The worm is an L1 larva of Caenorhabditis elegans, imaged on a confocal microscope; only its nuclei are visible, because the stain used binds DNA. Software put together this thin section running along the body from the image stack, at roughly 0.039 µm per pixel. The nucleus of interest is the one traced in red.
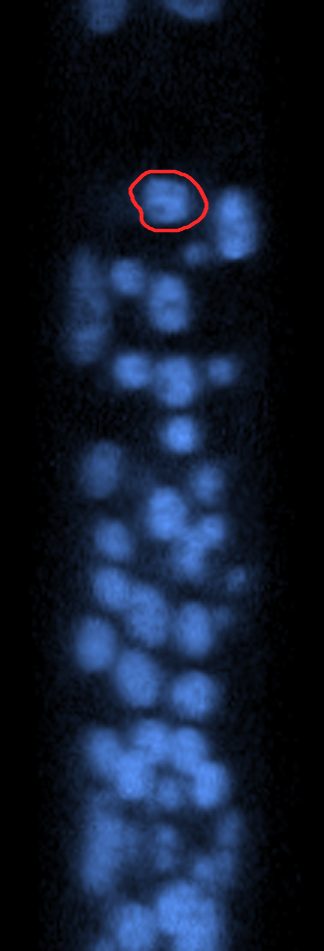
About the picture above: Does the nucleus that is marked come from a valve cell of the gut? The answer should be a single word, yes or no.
yes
